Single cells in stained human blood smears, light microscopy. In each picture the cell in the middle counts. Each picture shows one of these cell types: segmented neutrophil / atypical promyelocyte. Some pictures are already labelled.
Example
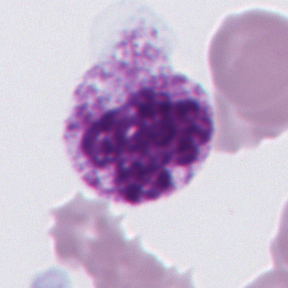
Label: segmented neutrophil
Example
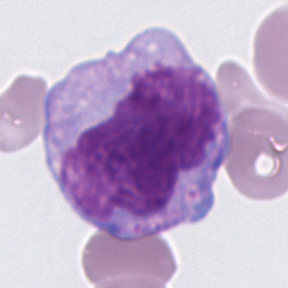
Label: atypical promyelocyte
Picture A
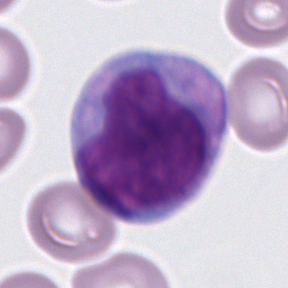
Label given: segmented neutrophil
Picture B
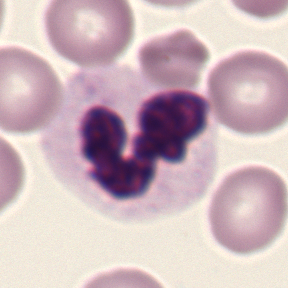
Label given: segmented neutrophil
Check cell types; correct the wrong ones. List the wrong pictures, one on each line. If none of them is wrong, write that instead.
A: change segmented neutrophil to atypical promyelocyte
